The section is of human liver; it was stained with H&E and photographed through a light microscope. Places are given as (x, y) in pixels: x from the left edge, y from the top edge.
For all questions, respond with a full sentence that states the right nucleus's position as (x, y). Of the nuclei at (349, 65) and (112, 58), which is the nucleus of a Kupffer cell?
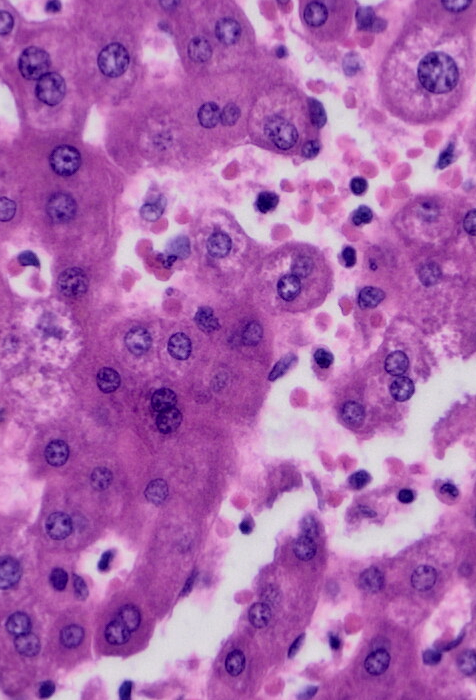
Located at (349, 65), this nucleus is the one belonging to a Kupffer cell.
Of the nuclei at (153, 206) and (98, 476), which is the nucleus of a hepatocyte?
As for which of the two, the nucleus at (98, 476) belongs to a hepatocyte.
